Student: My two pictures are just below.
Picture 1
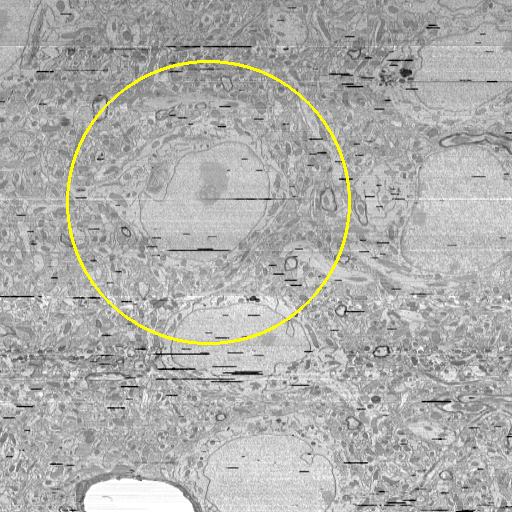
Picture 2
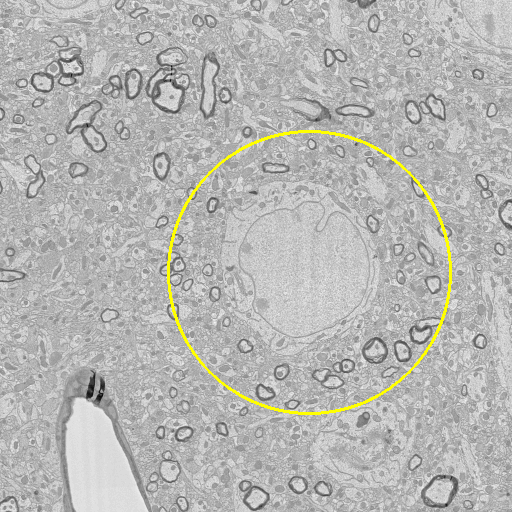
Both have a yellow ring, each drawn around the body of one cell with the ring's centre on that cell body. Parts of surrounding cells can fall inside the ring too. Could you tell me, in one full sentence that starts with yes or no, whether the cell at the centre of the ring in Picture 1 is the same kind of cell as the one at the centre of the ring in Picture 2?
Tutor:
Yes, the two cells are of the same kind.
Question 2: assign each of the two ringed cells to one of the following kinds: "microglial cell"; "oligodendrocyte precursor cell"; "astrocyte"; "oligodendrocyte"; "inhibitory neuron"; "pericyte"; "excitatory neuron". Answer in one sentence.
Both rings mark an excitatory neuron, one in each picture.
